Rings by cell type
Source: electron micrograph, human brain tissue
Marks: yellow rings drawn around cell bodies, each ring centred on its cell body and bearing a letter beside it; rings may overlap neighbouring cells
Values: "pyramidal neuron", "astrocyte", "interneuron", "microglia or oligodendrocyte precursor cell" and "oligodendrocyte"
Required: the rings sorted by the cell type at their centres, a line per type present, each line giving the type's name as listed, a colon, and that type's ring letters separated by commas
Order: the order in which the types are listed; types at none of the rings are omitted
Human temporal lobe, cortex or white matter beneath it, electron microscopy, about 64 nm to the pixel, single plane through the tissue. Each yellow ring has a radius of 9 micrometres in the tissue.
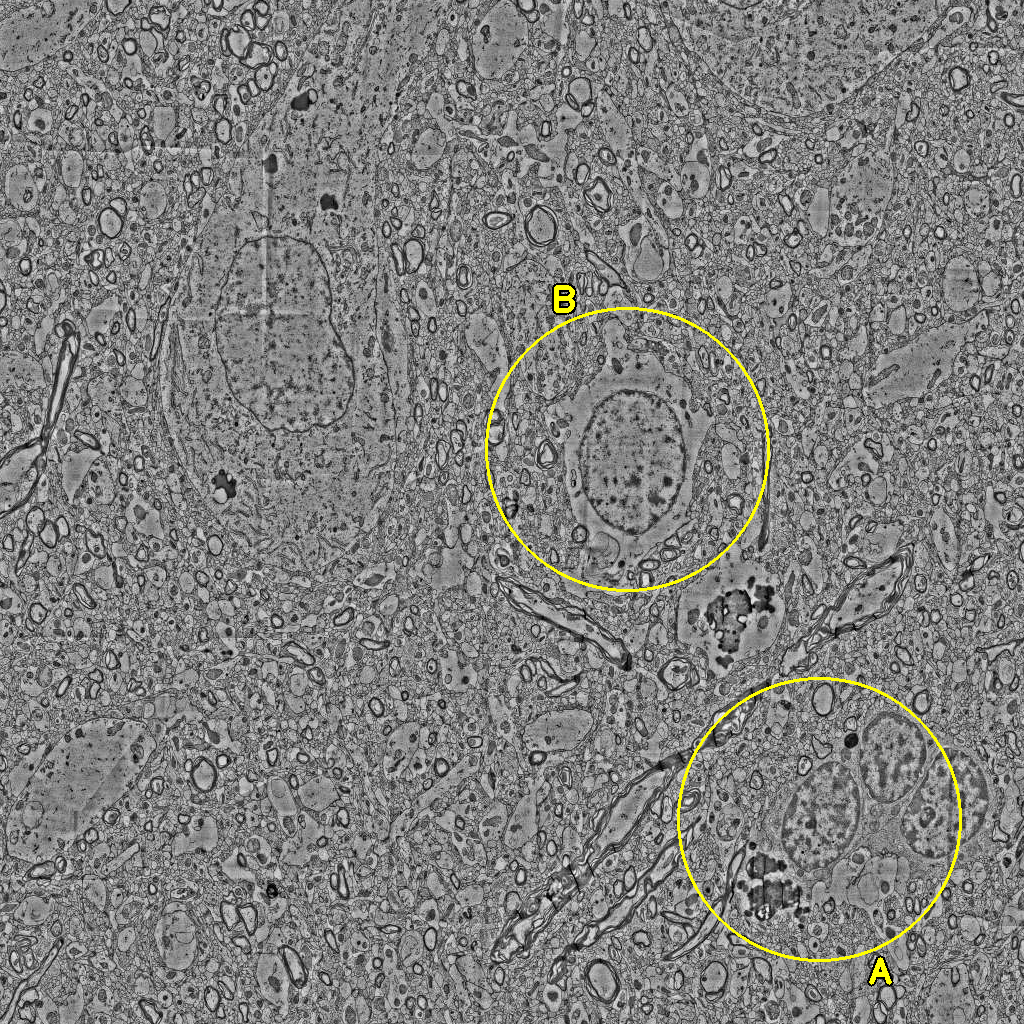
astrocyte: B
oligodendrocyte: A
